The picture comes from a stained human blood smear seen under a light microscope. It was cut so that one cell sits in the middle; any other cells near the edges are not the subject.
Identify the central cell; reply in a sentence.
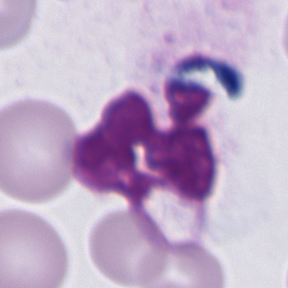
Of the cells in this crop, the central one is a smudge cell.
